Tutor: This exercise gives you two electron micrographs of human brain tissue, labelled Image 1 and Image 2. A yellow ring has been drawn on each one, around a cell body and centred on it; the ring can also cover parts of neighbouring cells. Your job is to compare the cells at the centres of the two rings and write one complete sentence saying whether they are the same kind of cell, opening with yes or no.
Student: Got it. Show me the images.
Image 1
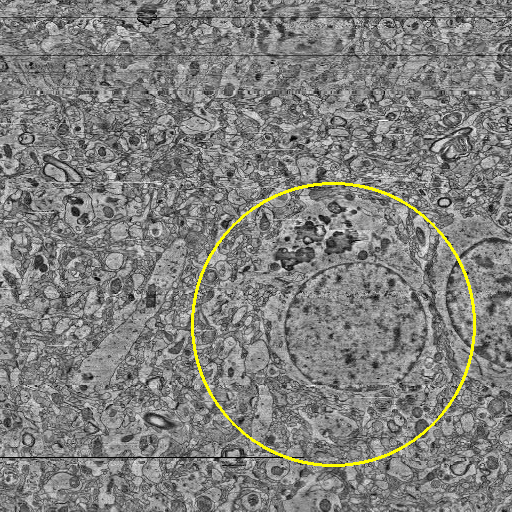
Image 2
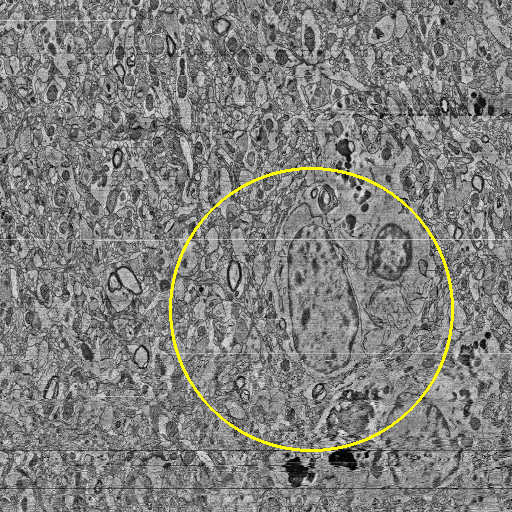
Yes, the two cells belong to the same kind.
